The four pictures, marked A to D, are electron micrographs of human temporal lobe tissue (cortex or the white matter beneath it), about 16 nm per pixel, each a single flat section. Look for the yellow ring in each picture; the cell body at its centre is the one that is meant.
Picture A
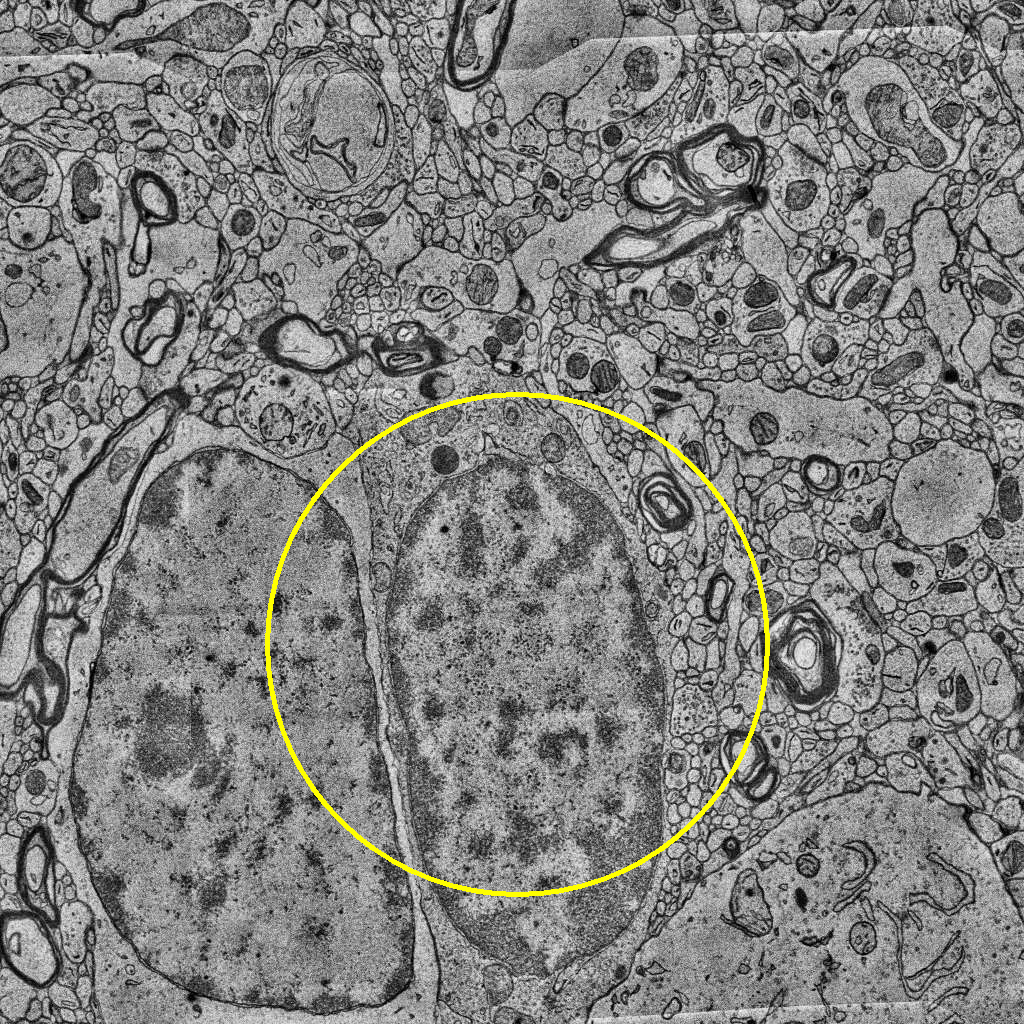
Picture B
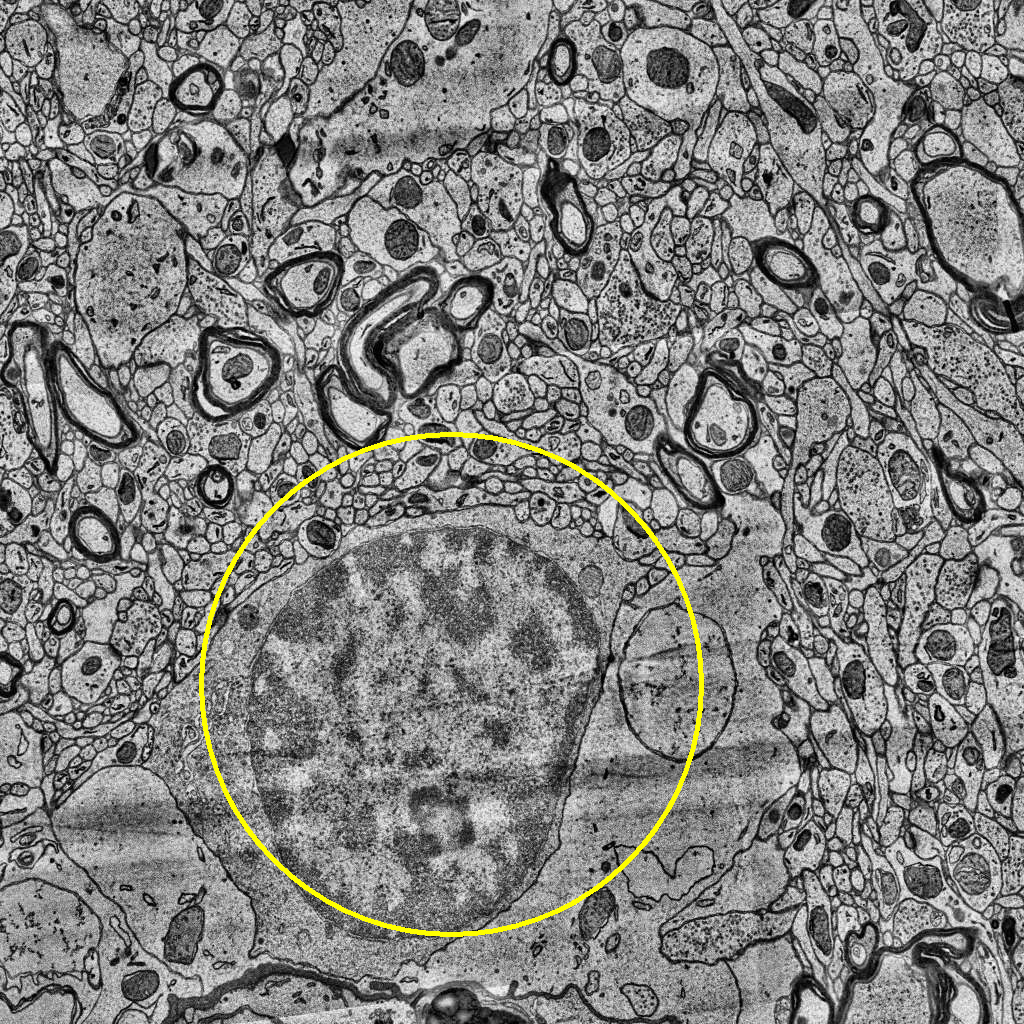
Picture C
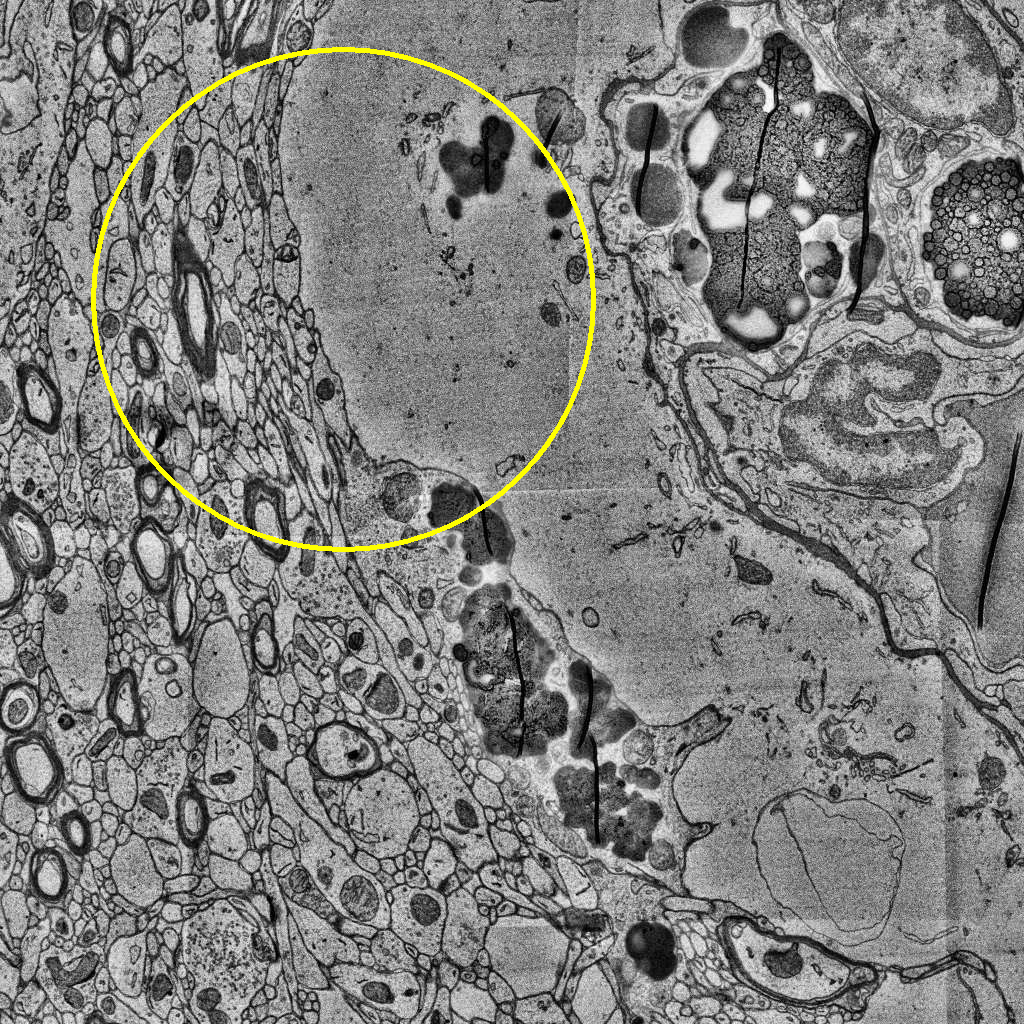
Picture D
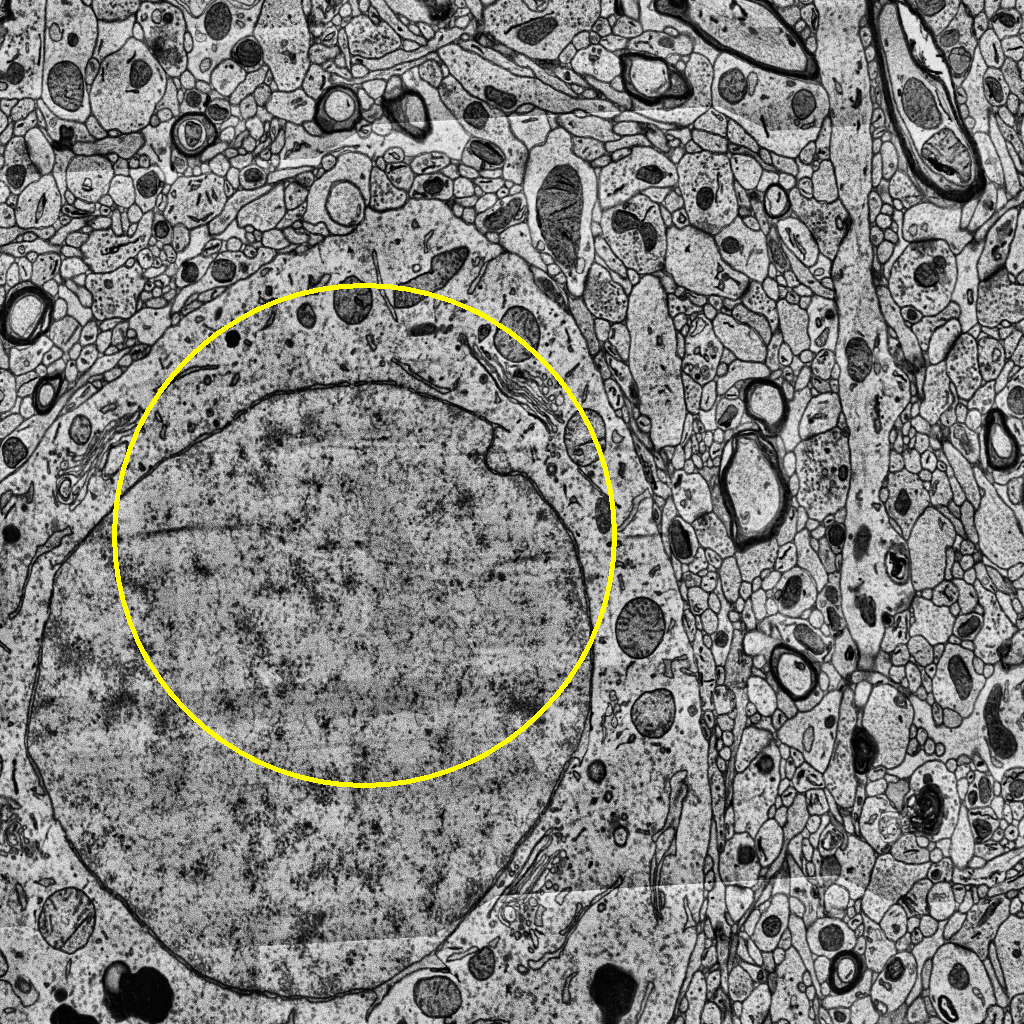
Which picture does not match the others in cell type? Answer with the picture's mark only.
D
